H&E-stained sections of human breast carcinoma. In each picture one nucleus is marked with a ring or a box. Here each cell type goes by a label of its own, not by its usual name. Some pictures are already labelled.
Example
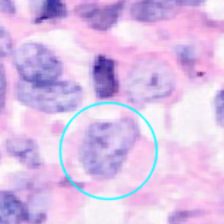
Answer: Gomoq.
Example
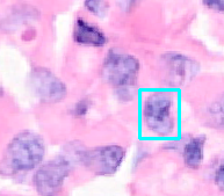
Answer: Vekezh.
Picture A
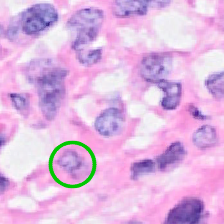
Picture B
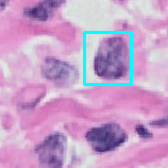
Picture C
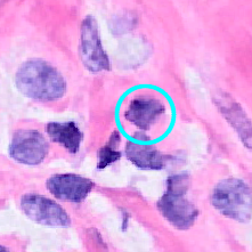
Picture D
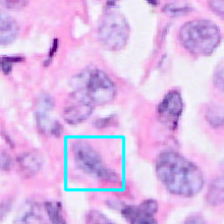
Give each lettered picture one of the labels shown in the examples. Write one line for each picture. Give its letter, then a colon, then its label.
A: Vekezh.
B: Gomoq.
C: Gomoq.
D: Vekezh.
